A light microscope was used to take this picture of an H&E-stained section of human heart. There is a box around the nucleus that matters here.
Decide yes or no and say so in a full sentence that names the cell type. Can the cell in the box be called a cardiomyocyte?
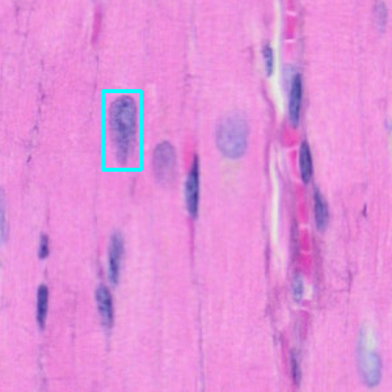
Yes, the cell in the box is, by type, a cardiomyocyte.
